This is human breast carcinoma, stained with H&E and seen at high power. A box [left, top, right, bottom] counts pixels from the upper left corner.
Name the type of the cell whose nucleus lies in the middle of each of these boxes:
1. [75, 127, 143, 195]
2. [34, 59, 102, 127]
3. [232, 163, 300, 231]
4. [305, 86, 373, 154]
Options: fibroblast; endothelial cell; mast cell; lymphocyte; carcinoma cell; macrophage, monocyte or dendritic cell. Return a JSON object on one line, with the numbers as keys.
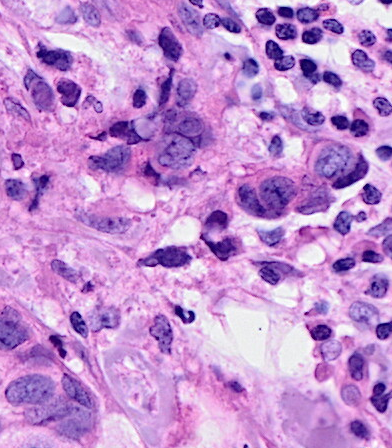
{"1": "carcinoma cell", "2": "carcinoma cell", "3": "carcinoma cell", "4": "lymphocyte"}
